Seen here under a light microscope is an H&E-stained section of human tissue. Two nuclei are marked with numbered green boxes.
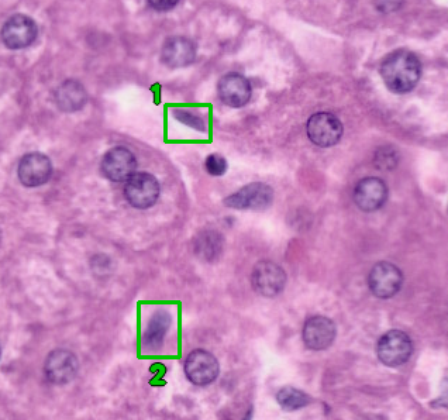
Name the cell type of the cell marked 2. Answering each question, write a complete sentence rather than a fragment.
Numbered cell 2 is a Kupffer cell in this tissue section.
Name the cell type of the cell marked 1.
Among the marked nuclei, number 1 belongs to an endothelial cell.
